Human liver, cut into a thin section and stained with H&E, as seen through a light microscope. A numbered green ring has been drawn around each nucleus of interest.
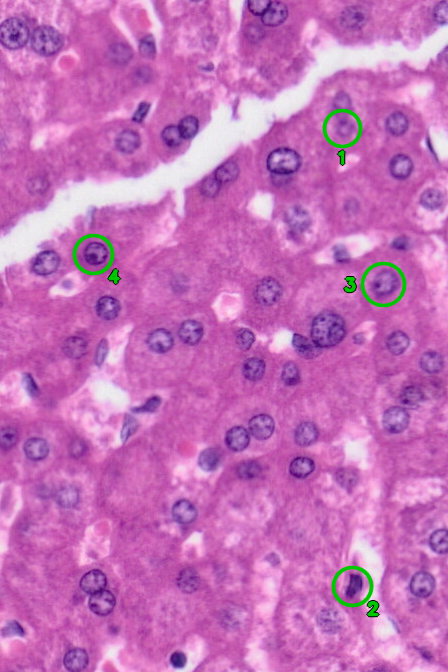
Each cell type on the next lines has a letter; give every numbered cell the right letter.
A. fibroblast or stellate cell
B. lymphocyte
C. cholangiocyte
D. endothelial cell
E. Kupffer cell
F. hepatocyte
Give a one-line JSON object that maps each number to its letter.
{"1": "F", "2": "E", "3": "F", "4": "F"}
